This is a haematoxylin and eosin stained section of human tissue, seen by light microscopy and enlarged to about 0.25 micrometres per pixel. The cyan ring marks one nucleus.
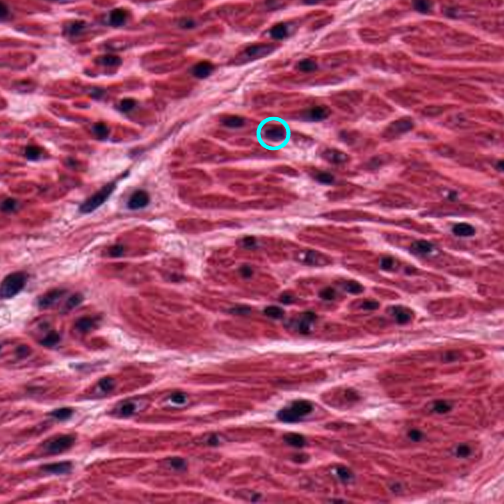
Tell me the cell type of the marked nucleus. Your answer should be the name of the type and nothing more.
smooth muscle cell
